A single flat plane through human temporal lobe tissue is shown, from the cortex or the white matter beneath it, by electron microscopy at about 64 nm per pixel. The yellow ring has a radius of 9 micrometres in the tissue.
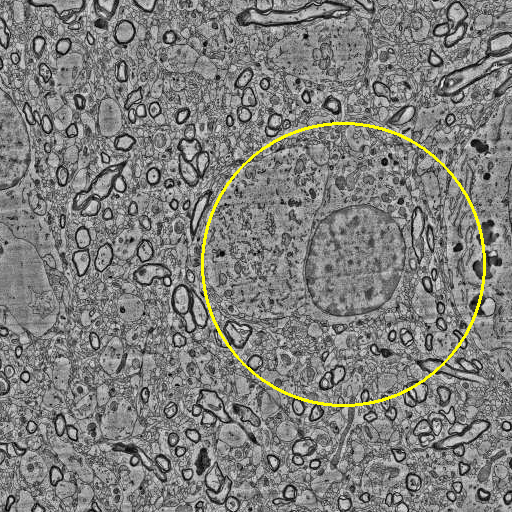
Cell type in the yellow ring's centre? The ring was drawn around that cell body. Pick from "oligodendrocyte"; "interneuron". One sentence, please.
The ringed cell body is that of an oligodendrocyte.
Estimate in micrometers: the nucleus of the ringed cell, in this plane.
Approximately 7 micrometres across in this plane.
